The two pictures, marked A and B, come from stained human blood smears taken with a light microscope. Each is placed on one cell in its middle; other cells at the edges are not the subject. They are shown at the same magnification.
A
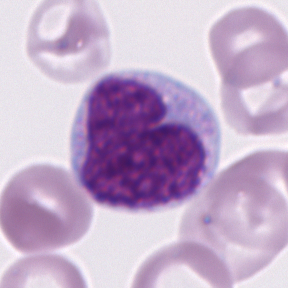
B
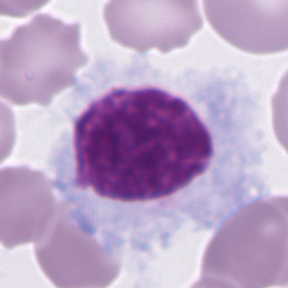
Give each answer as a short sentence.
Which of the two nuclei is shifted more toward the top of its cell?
The nucleus in picture B lies further toward the top of its cell.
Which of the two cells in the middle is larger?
Larger is the cell in picture B, at roughly 1.5 times the area of the other.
